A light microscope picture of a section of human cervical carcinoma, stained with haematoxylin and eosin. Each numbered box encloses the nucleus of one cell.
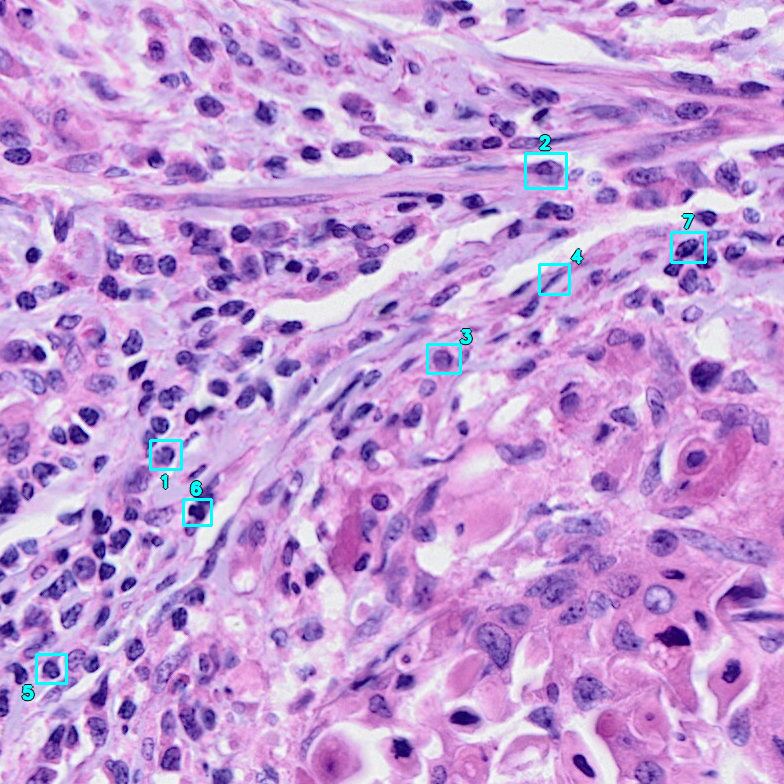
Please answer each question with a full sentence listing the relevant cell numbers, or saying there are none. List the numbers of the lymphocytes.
The cells that have been numbered 1, 5, 6 and 7 are lymphocytes.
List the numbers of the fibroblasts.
Cell 4 is a fibroblast; the remaining numbered cells are not.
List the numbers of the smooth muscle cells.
Nowhere among the numbered cells do smooth muscle cells occur.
